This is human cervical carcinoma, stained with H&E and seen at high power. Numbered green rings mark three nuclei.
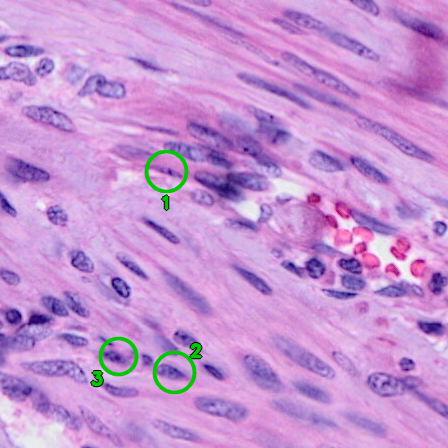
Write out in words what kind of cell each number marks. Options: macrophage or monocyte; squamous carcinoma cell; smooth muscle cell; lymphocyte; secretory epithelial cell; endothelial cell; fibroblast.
Cell 1 is an endothelial cell. Cell 2 is a fibroblast. Cell 3 is a smooth muscle cell.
